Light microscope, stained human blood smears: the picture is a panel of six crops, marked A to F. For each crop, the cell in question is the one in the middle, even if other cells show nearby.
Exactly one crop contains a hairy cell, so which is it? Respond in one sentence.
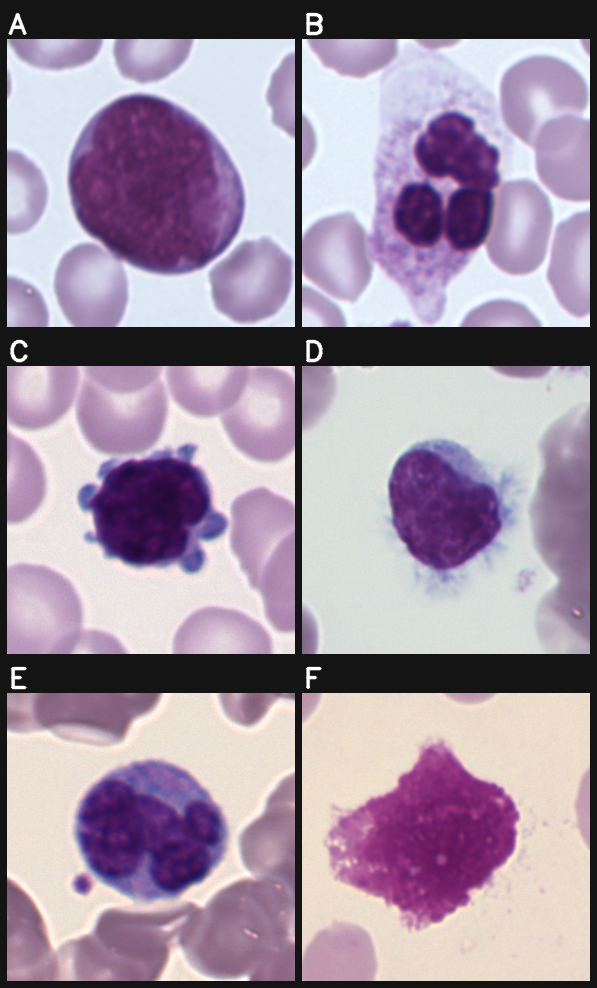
Look at crop D; that is the one with a hairy cell in its center.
